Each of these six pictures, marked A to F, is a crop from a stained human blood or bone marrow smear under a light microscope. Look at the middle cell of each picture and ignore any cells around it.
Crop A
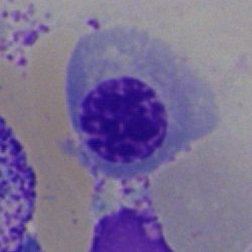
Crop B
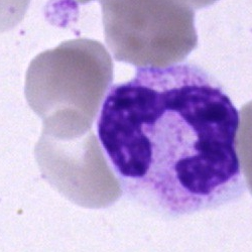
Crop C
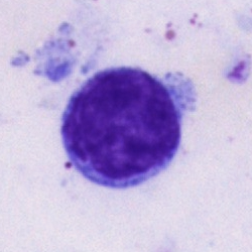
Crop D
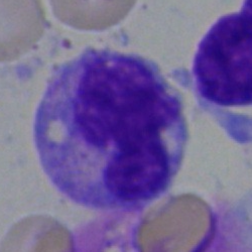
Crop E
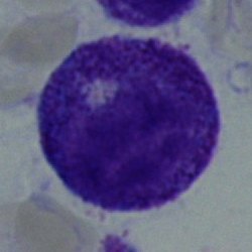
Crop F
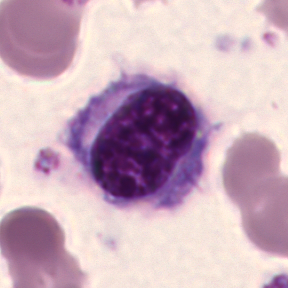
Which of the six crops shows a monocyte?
D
